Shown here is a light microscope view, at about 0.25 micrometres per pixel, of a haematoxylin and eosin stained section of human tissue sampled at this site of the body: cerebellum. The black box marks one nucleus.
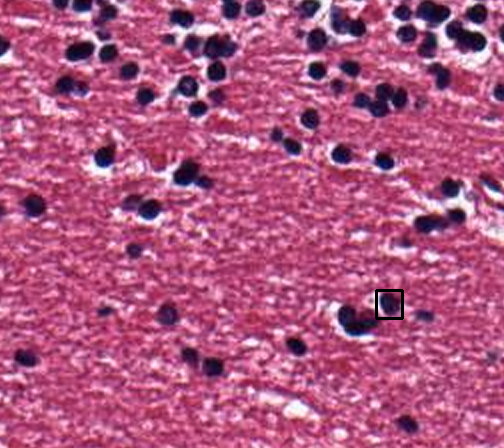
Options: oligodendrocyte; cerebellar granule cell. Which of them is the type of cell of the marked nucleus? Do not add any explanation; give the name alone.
oligodendrocyte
